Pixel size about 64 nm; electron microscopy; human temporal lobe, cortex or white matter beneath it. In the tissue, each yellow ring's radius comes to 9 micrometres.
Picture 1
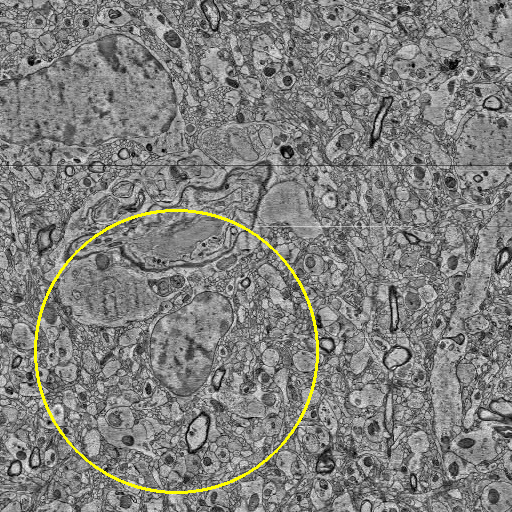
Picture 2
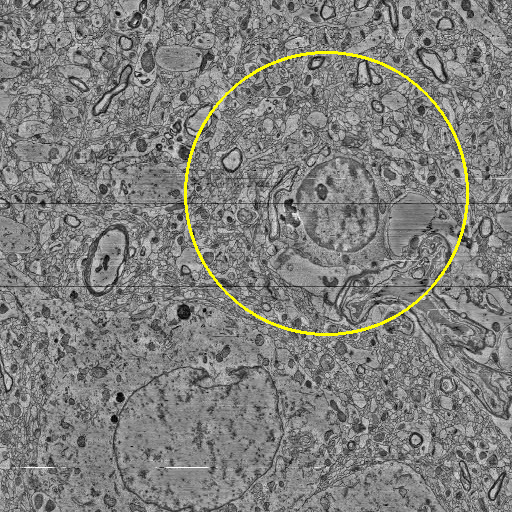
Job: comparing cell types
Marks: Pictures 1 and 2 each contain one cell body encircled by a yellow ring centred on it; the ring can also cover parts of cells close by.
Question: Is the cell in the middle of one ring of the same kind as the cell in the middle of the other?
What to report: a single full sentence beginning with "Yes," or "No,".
No, the cell at the ring centre in Picture 1 and its partner in Picture 2 are of two kinds.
